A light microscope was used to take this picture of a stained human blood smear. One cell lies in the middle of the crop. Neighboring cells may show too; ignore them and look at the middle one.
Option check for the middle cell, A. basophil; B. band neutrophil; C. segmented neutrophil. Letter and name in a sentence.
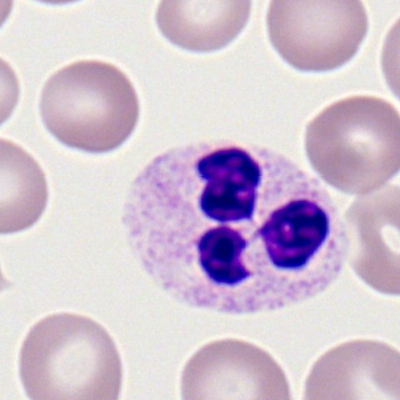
The correct option is C, as the central cell is a segmented neutrophil.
